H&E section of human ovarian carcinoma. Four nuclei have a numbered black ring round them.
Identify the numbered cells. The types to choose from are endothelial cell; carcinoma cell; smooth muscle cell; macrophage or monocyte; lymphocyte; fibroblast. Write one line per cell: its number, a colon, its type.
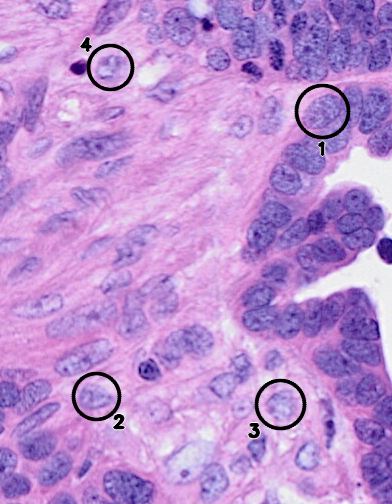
1: carcinoma cell
2: fibroblast
3: fibroblast
4: fibroblast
